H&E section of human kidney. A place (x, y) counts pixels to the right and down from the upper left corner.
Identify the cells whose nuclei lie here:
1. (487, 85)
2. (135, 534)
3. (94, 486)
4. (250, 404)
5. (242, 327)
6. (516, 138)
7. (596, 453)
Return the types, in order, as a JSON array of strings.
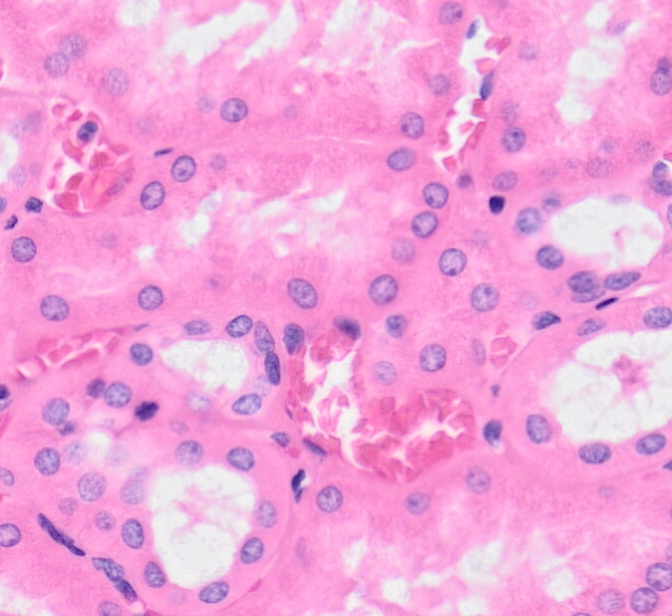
["endothelial cell", "loop of Henle or distal tubule cell", "loop of Henle or distal tubule cell", "collecting duct cell", "collecting duct cell", "proximal tubule cell", "loop of Henle or distal tubule cell"]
